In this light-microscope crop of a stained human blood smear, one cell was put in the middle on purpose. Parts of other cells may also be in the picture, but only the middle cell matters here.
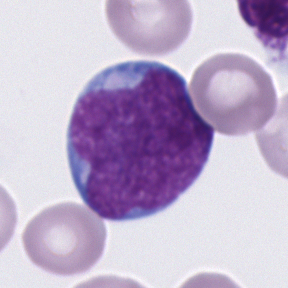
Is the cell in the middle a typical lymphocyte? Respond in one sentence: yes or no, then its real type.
No, not a typical lymphocyte here; the centered cell is a myeloblast.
